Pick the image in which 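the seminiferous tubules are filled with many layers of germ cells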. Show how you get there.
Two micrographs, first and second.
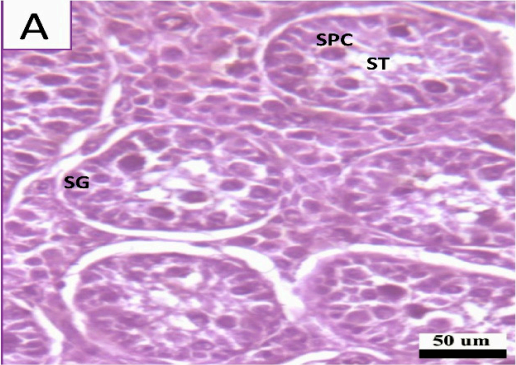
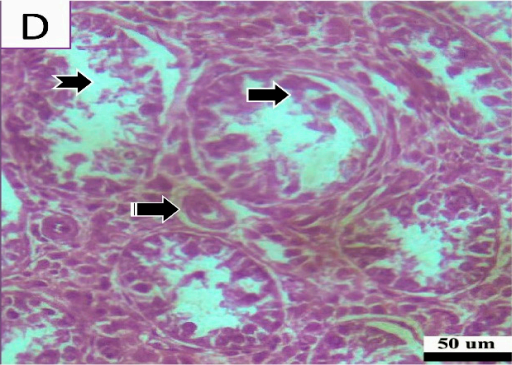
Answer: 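Second image: tubules have large, irregular pale empty lumens with thin, sparse cell lining. First image: tubules are filled with several layers of closely packed germ cells and small lumens. On this evidence: the first image.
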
